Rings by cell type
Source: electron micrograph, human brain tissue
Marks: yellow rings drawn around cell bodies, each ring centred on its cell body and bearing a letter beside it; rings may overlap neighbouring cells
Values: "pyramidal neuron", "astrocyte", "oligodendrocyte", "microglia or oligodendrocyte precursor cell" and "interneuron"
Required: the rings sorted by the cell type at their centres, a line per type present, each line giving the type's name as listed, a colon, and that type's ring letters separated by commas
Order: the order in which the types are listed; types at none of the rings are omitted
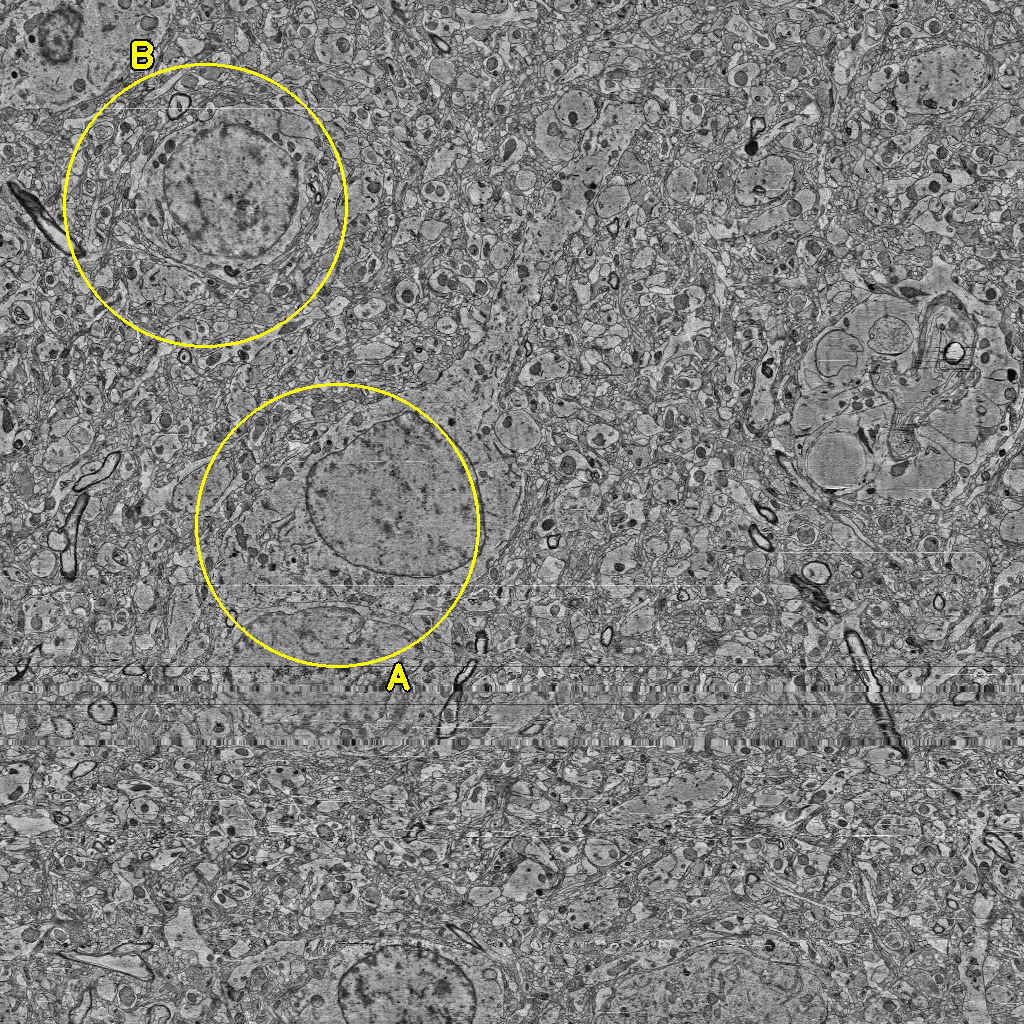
pyramidal neuron: A
interneuron: B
